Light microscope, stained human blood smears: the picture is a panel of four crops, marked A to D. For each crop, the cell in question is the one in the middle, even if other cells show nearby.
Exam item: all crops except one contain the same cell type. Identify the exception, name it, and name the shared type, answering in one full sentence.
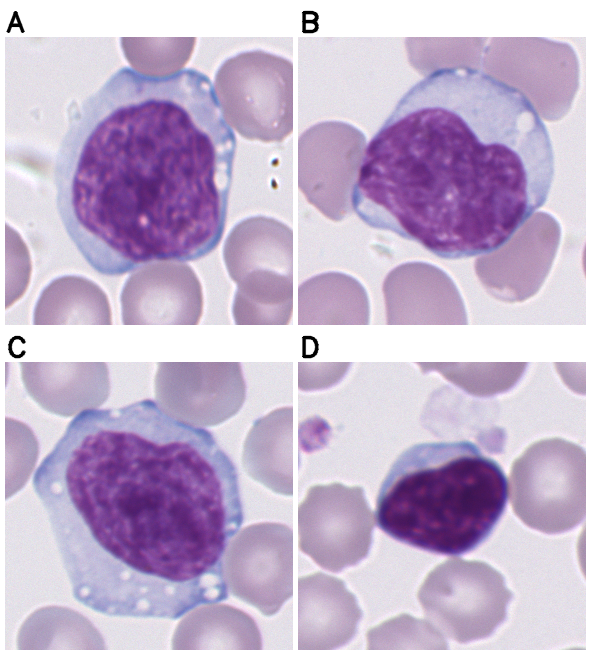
Found in all crops but one are myeloblasts; the exception, crop D, contains a typical lymphocyte.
